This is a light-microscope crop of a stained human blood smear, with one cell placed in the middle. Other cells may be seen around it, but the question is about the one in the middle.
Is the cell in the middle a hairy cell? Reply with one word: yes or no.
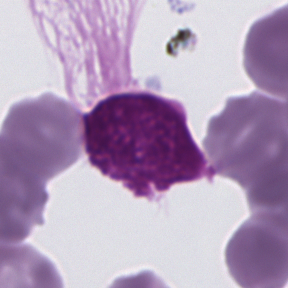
no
